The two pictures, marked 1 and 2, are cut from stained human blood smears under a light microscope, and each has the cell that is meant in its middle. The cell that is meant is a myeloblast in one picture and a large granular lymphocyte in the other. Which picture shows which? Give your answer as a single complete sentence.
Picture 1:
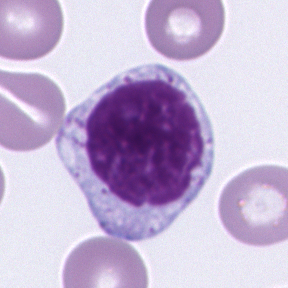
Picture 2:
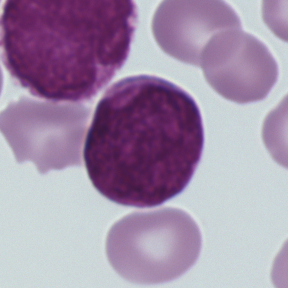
Picture 1 is of a large granular lymphocyte, and picture 2 is of a myeloblast.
